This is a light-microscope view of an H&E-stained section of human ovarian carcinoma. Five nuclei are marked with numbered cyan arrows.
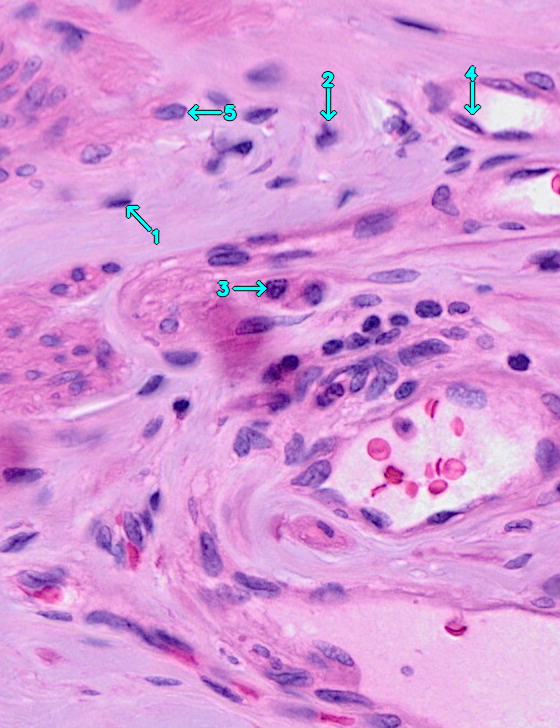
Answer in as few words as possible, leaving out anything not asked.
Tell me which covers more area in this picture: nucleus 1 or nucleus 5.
5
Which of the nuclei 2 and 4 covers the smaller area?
4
